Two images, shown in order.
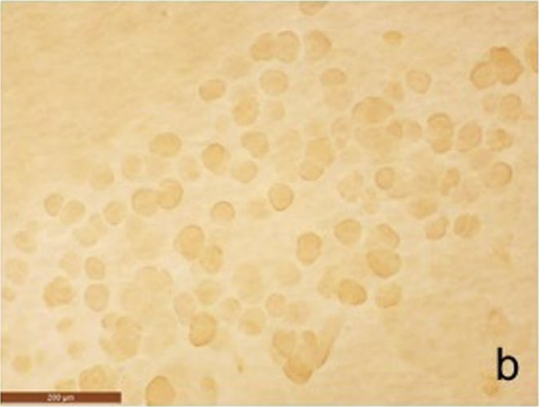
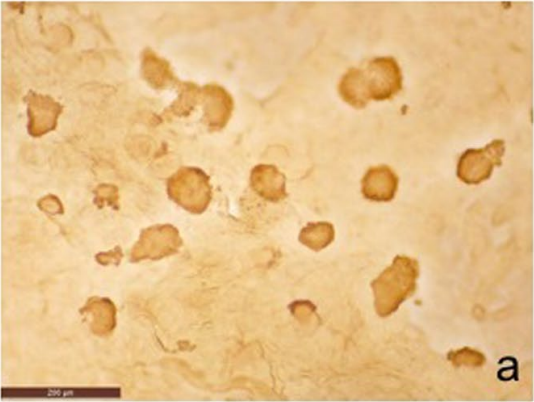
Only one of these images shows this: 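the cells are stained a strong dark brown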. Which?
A: The second image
